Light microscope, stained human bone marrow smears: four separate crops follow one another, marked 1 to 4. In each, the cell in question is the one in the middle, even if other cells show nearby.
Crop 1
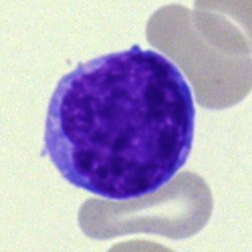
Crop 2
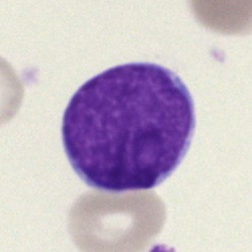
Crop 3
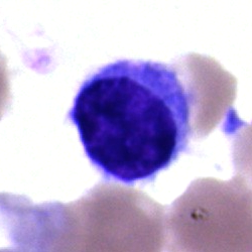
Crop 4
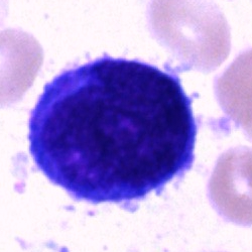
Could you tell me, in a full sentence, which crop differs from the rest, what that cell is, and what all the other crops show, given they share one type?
While crop 3 shows a hairy cell, the other crops all show blasts.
